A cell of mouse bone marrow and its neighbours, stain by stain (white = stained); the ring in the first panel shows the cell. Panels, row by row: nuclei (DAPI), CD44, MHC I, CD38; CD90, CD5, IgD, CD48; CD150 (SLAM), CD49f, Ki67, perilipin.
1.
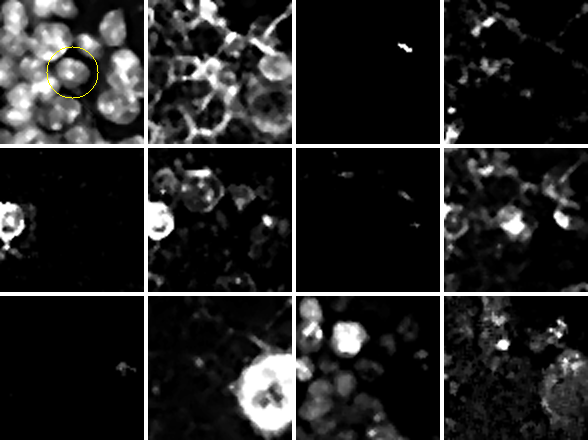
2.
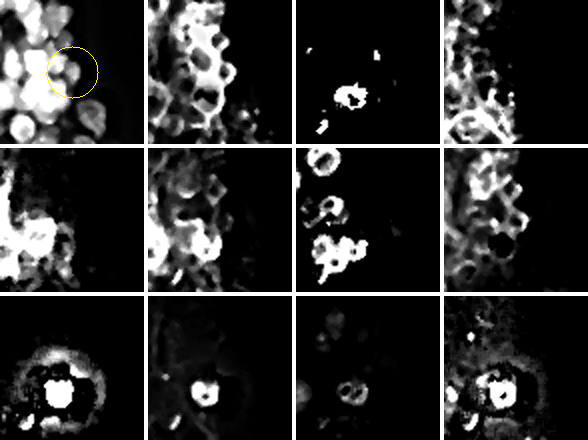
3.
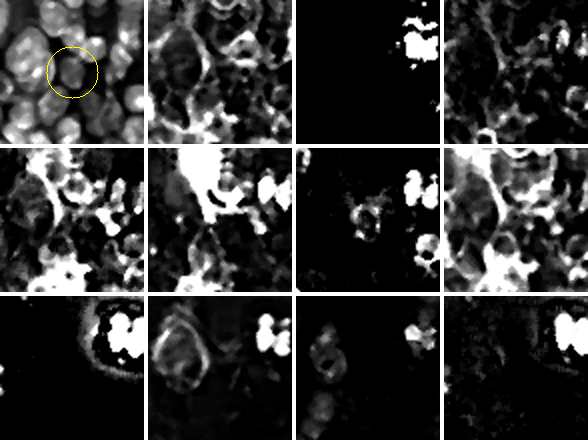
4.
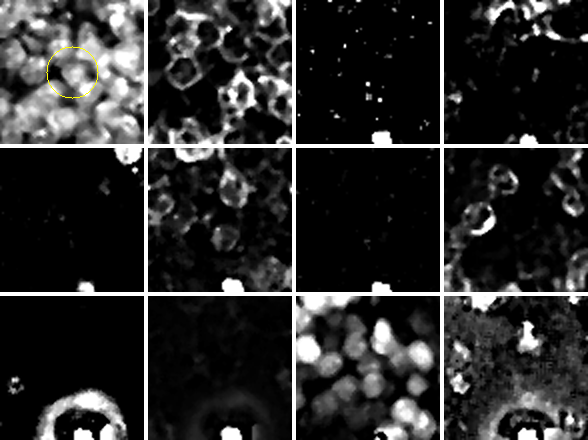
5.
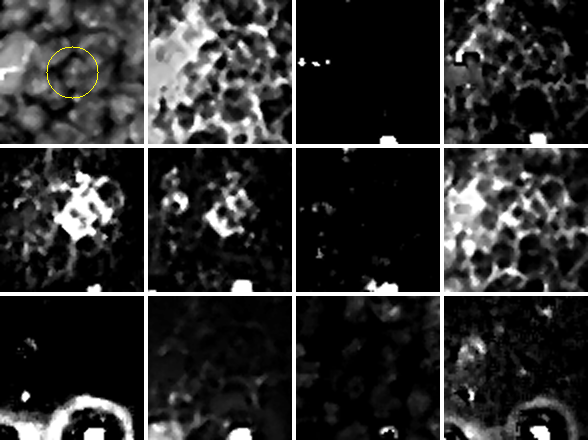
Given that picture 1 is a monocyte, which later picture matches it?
2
